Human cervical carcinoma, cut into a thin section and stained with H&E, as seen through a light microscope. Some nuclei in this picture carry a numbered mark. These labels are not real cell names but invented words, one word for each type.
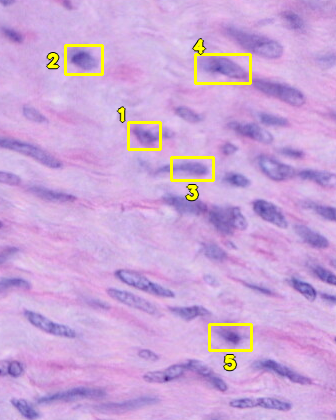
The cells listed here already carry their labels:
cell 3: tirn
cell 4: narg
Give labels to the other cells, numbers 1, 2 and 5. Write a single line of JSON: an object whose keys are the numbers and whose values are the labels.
{"1": "narg", "2": "tirn", "5": "narg"}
